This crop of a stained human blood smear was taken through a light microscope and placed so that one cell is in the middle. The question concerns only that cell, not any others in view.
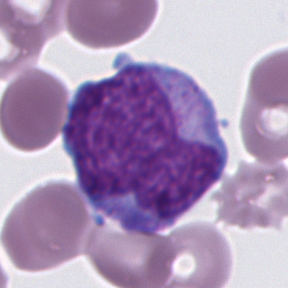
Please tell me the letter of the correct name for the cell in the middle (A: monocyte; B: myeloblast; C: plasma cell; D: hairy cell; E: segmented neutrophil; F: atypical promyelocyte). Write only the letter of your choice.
F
